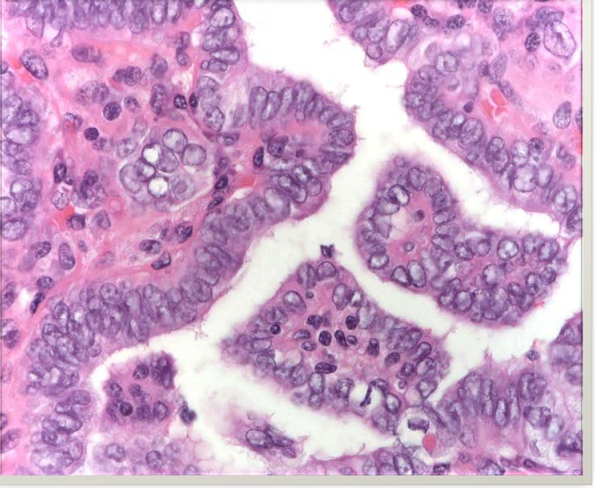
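This is a classical papillary carcinoma of the thyroid, with thyrocytes lining branching papillary fronds that have thin pink fibrovascular cores and open spaces between them. The nuclei are enlarged, oval and crowded, overlapping one another along the fronds. Their chromatin looks pale and cleared, giving a ground-glass appearance, and a few show grooves or small nucleoli. The cytoplasm is pink and modest in amount.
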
